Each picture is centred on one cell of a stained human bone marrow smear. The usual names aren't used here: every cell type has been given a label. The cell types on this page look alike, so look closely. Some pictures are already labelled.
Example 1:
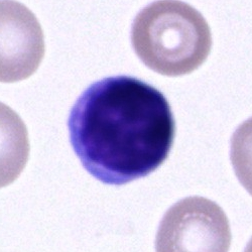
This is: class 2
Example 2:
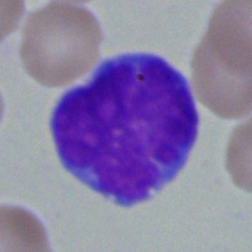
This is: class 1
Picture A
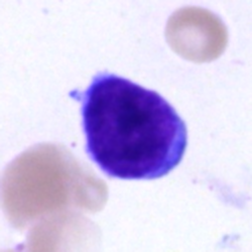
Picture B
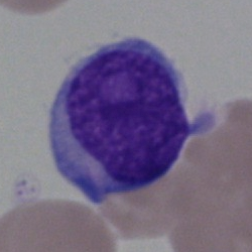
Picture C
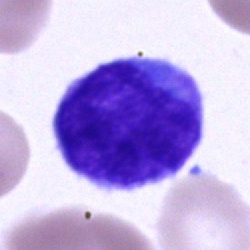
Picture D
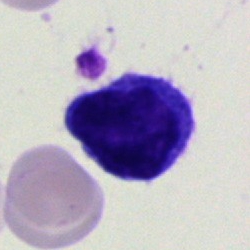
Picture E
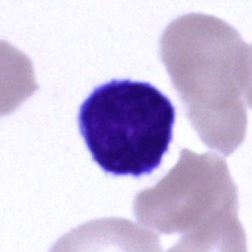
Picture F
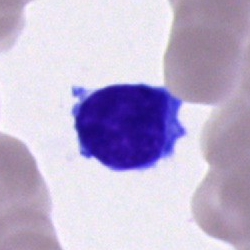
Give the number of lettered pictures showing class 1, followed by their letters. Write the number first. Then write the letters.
Count: 2 (B, C)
